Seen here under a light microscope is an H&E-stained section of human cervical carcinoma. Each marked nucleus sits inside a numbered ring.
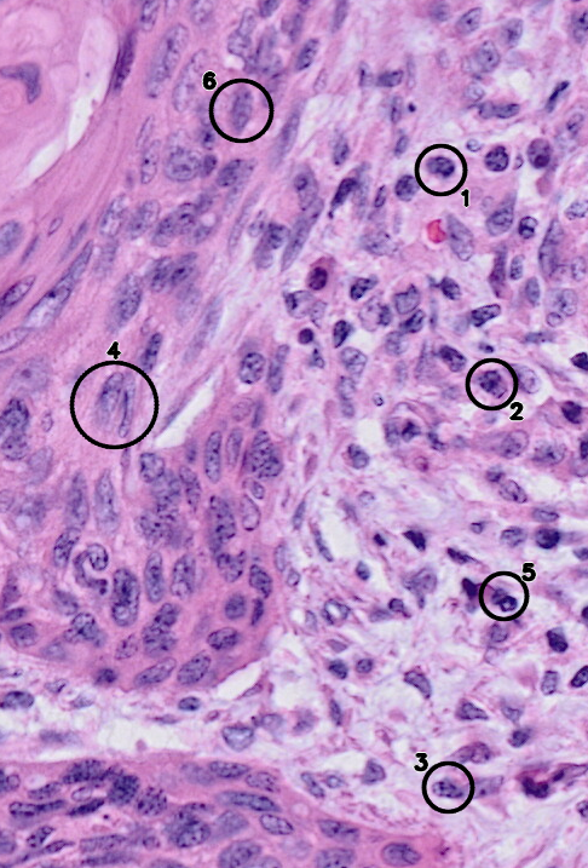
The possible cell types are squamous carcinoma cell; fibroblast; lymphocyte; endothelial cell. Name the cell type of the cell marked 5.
lymphocyte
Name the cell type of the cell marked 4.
squamous carcinoma cell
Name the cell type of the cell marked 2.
lymphocyte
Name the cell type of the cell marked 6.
squamous carcinoma cell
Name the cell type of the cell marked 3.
lymphocyte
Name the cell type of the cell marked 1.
lymphocyte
